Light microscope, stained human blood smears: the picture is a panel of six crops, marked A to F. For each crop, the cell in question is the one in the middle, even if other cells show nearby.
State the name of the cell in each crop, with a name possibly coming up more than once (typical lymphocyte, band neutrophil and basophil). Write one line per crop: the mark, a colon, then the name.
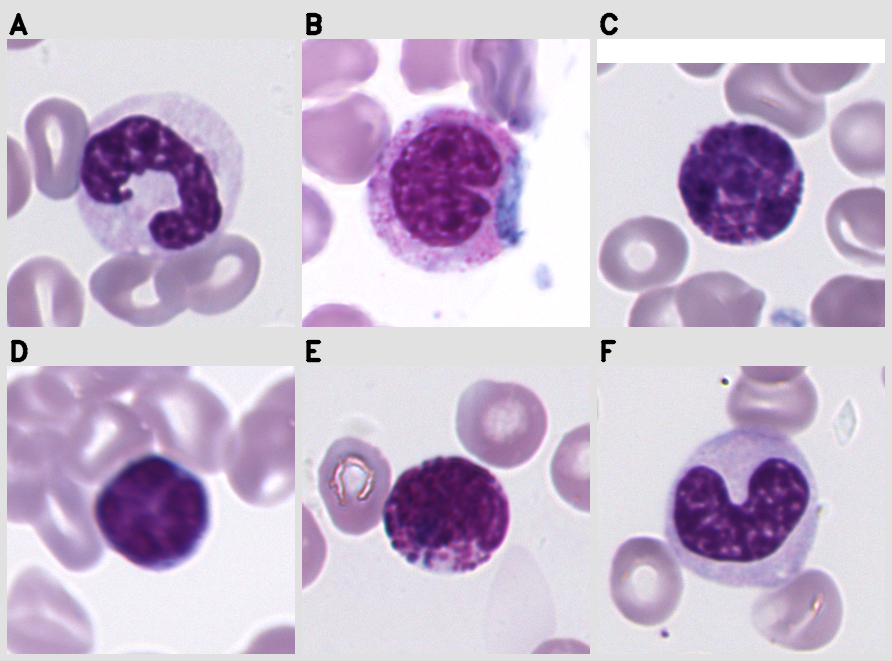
A: band neutrophil
B: band neutrophil
C: basophil
D: typical lymphocyte
E: basophil
F: band neutrophil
